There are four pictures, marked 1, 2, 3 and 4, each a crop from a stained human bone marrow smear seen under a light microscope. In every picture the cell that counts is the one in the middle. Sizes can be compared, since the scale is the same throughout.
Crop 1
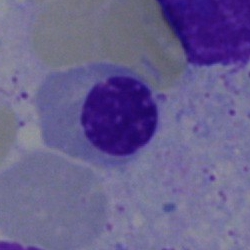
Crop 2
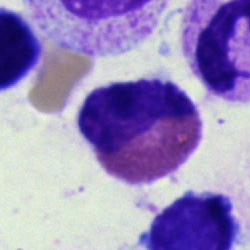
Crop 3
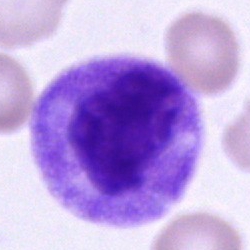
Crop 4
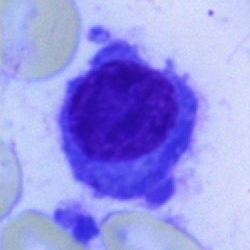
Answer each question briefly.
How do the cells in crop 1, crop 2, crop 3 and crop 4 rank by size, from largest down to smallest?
3, 4, 2, 1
